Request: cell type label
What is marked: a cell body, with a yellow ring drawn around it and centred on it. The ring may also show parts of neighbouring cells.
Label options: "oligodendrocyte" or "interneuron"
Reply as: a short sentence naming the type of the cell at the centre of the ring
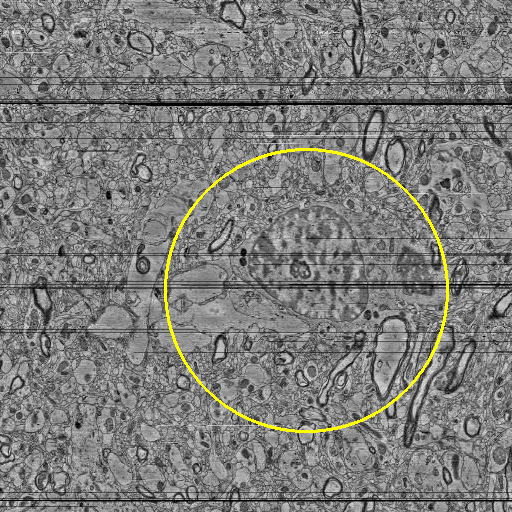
The marked cell body is that of an oligodendrocyte.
